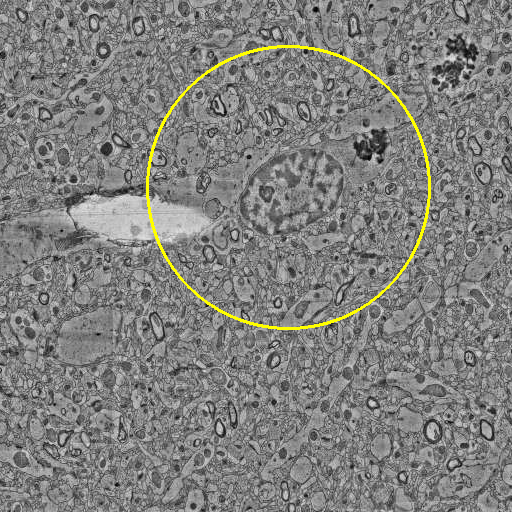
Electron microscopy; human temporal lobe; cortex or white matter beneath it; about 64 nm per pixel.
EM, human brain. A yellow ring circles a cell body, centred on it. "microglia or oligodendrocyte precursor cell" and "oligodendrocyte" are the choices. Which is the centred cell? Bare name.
oligodendrocyte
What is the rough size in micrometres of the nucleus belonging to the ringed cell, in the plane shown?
The nucleus is approximately 7 micrometers long by 5 micrometers wide in this plane.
